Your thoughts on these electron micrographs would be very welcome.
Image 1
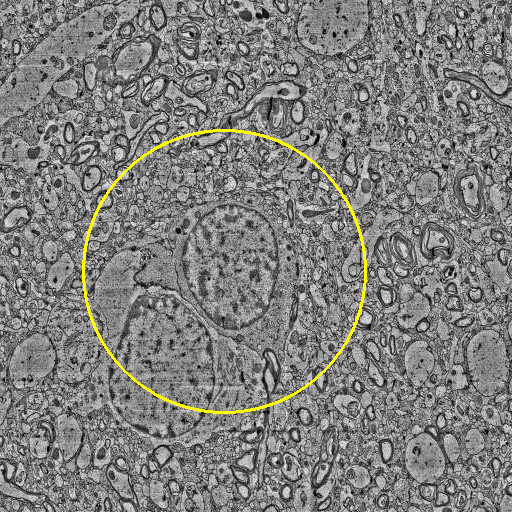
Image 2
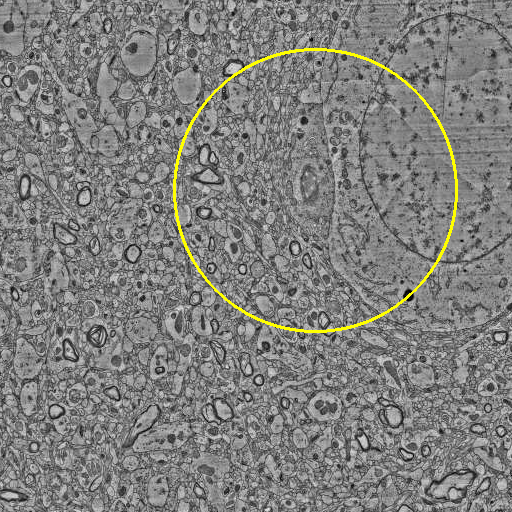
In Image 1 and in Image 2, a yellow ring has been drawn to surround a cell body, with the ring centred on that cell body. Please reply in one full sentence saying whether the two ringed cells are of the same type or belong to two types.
The ringed cells in Image 1 and Image 2 are of the same type.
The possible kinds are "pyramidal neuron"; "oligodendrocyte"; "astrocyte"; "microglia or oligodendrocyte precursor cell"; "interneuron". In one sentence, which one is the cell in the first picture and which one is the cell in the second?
Both rings mark an oligodendrocyte, one in each picture.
